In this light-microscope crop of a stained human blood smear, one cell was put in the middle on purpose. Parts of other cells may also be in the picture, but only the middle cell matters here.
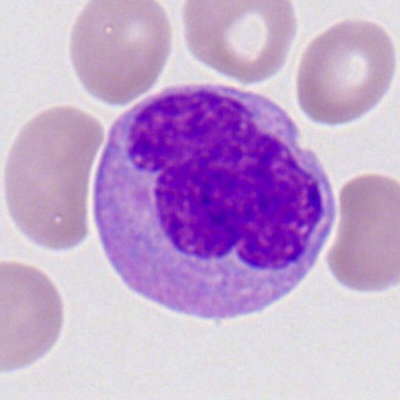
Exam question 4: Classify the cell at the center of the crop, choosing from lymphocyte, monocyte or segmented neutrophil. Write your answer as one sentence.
Positioned in the middle of the crop is a monocyte.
